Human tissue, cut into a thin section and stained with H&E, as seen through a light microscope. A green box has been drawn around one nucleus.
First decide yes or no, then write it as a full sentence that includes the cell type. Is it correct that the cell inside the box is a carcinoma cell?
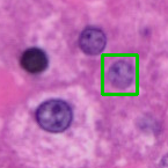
No, the cell inside the box qualifies as a hepatocyte and does not qualify as a carcinoma cell.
